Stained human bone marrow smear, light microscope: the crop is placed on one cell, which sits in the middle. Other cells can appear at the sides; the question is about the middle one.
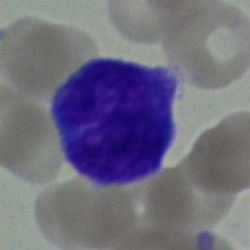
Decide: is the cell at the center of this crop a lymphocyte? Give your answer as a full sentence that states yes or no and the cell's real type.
No, the cell placed at the center is a blast rather than a lymphocyte.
